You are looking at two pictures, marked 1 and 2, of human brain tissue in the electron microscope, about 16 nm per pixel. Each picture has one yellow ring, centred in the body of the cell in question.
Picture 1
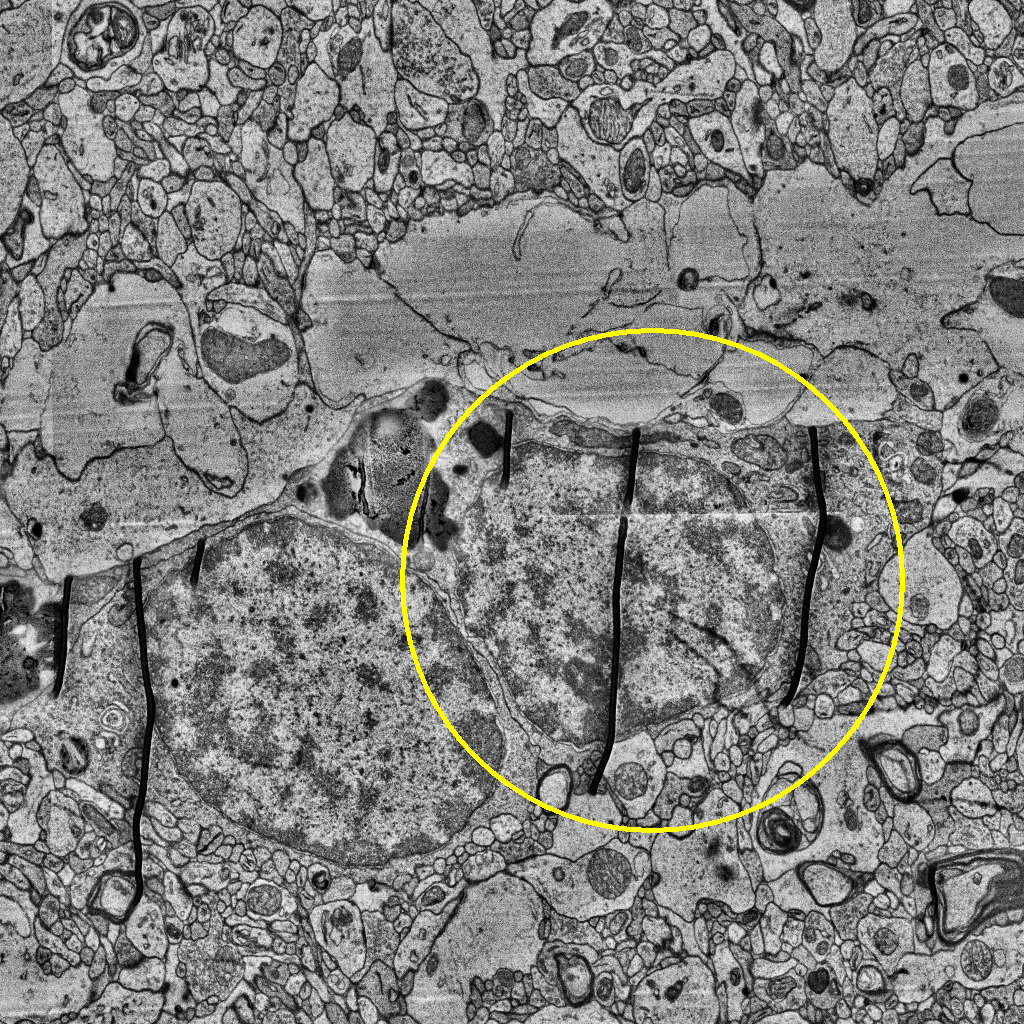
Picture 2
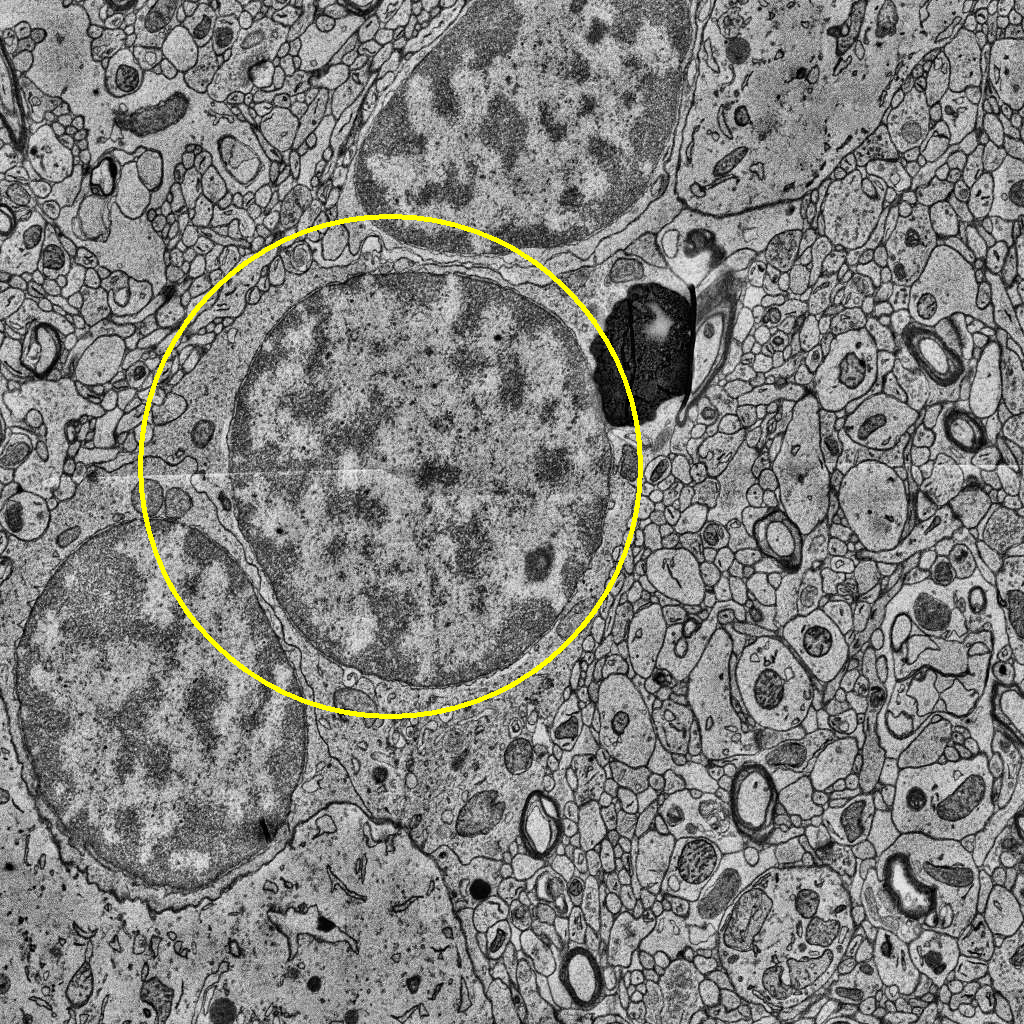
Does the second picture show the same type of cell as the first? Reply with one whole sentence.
Yes; the cells in both pictures are oligodendrocytes.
